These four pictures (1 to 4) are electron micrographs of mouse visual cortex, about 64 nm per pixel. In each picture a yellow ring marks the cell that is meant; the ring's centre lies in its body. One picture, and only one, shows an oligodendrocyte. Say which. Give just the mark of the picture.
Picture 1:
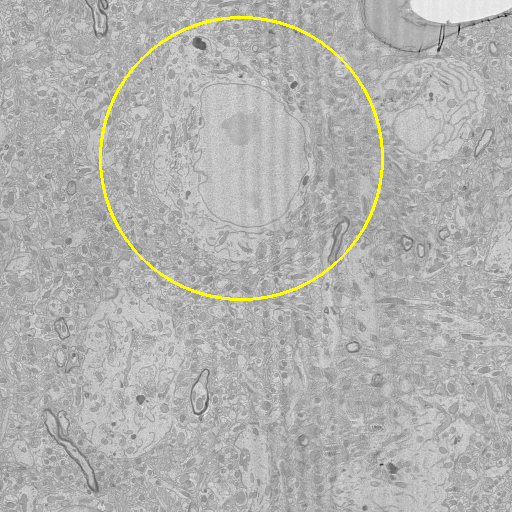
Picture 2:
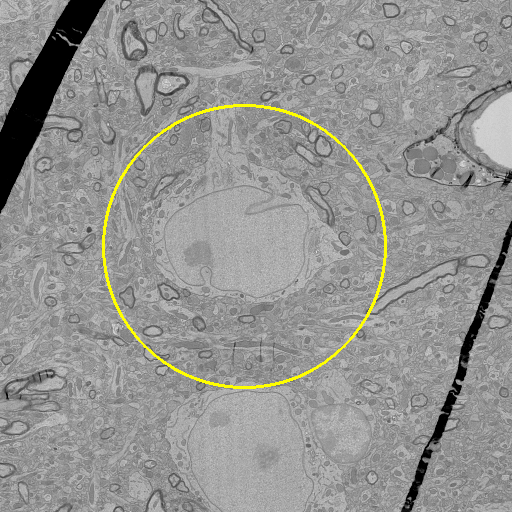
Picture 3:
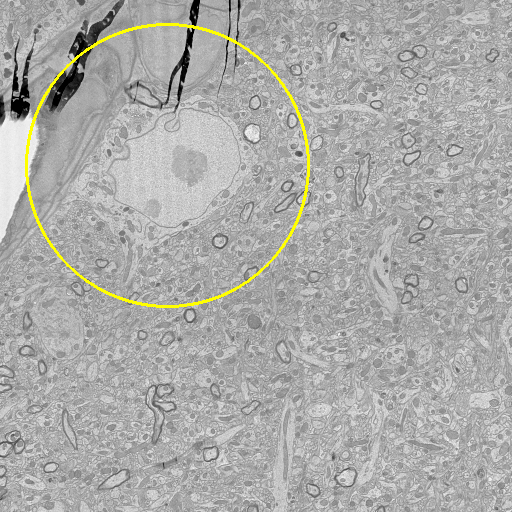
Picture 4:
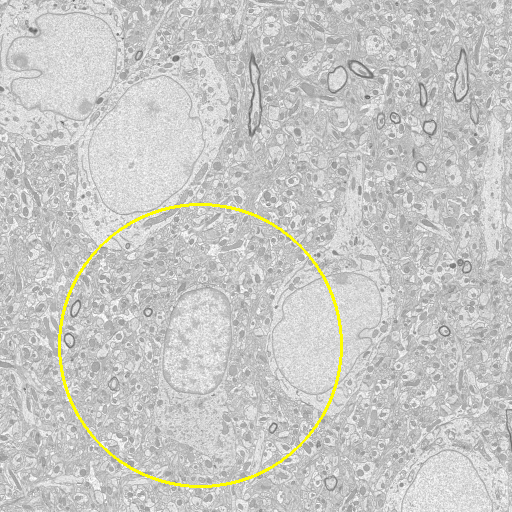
4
